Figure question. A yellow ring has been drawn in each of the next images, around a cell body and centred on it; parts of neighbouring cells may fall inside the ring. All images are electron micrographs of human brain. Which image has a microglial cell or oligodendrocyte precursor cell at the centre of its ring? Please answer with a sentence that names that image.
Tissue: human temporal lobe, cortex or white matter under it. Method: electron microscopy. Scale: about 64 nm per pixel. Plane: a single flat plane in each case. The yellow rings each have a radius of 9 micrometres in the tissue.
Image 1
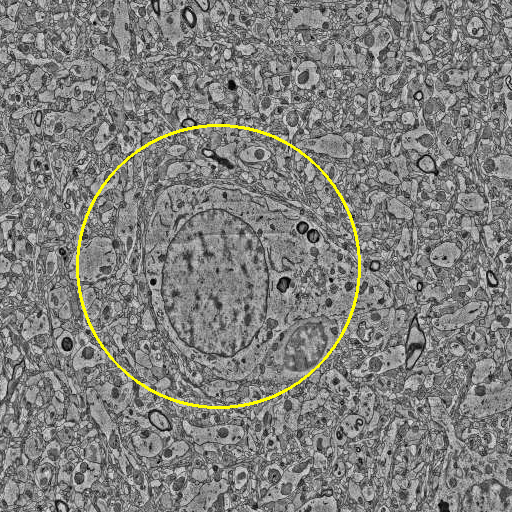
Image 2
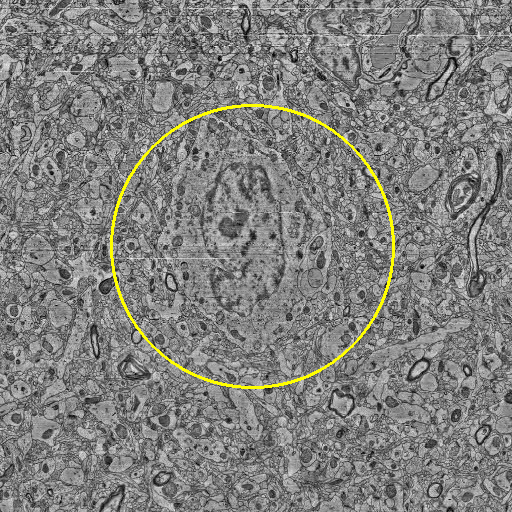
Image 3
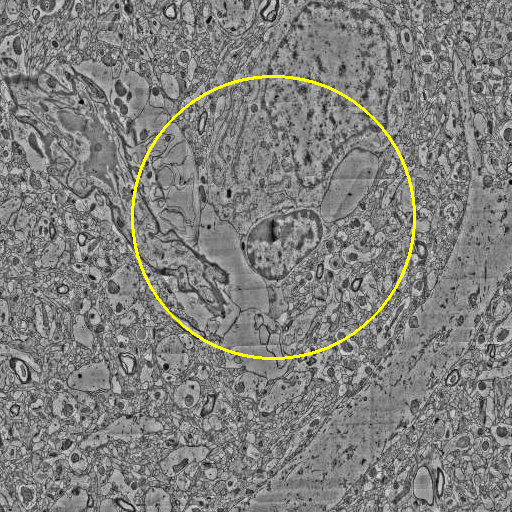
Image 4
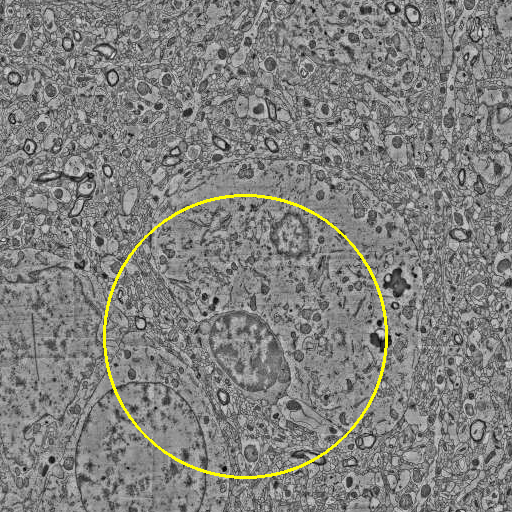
The cell at the centre of the ring in Image 3 is of that kind.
